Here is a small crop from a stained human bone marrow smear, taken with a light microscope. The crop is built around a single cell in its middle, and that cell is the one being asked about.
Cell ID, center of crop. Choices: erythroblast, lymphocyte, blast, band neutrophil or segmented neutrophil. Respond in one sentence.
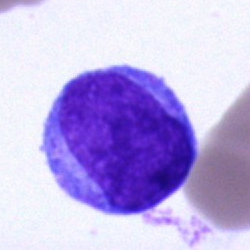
The cell under consideration, at the middle of the crop, is a blast.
